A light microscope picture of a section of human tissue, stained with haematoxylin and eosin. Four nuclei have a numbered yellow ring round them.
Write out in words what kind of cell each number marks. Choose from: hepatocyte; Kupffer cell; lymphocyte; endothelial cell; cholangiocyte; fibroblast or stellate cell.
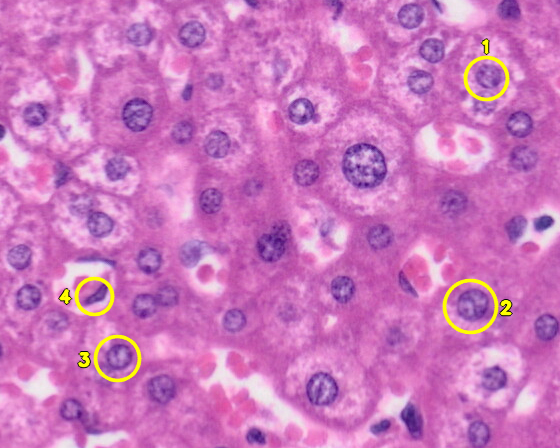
Cells 1, 2 and 3 are hepatocytes. Cell 4 is a Kupffer cell.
